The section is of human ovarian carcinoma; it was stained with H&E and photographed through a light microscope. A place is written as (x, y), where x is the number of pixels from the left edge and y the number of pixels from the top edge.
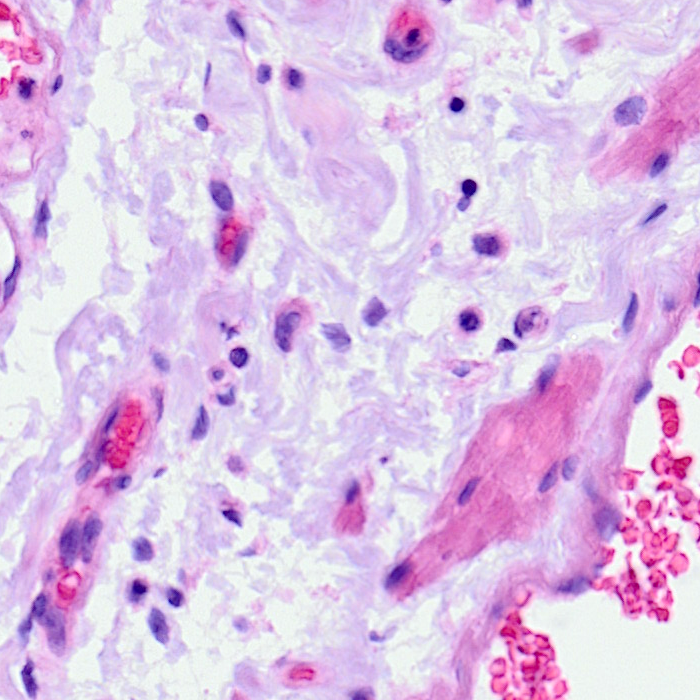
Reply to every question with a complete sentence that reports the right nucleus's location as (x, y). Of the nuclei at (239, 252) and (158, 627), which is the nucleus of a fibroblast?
The cell to which the nucleus at (158, 627) belongs is a fibroblast.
